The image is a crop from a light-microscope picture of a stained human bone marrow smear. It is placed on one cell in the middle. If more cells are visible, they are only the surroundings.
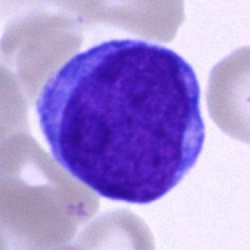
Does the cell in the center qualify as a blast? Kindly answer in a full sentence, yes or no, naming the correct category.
Yes, the cell at the crop's center is a blast.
